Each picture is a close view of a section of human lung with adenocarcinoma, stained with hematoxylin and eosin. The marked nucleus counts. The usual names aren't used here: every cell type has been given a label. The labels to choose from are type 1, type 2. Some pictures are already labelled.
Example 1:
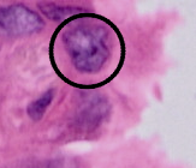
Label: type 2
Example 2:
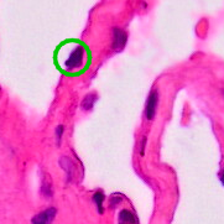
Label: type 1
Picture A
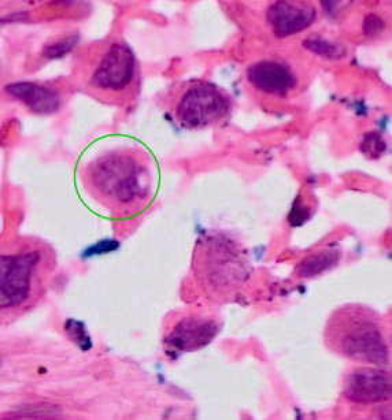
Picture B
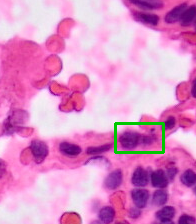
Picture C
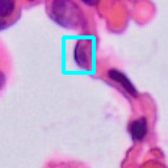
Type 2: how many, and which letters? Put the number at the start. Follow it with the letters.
Count: 1 (A)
